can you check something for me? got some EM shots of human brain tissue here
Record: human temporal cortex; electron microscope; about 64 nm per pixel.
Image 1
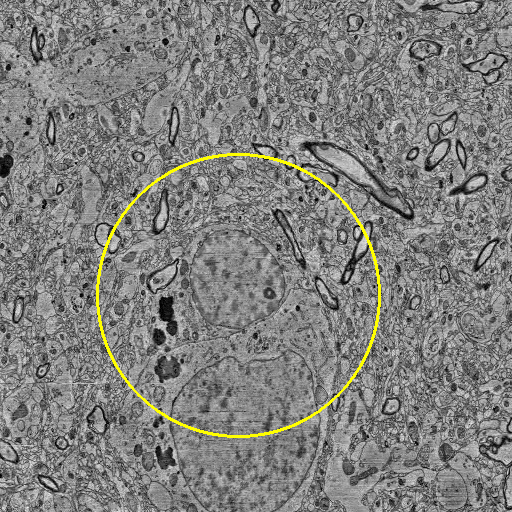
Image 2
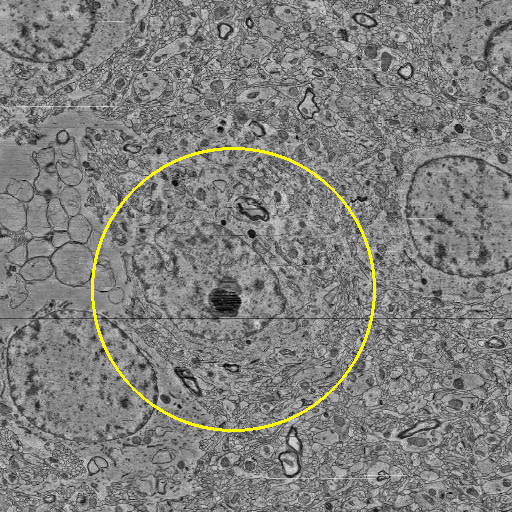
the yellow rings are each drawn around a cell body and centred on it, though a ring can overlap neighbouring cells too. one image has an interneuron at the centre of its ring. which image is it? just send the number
2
